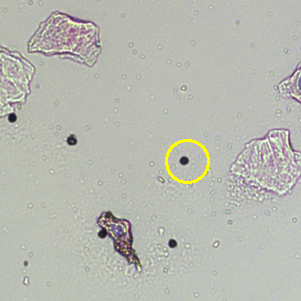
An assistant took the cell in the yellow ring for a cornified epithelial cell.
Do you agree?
I disagree, it is a leukocyte.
